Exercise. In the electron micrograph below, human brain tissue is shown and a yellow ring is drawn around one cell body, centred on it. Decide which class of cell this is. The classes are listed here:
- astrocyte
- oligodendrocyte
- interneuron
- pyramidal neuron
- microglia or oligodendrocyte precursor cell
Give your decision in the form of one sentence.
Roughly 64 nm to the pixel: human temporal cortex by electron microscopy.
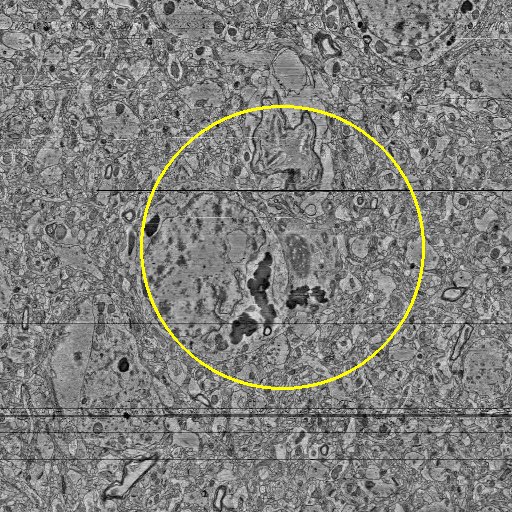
The cell body marked by the ring belongs to an oligodendrocyte.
